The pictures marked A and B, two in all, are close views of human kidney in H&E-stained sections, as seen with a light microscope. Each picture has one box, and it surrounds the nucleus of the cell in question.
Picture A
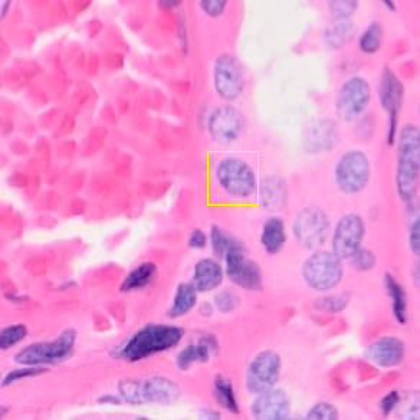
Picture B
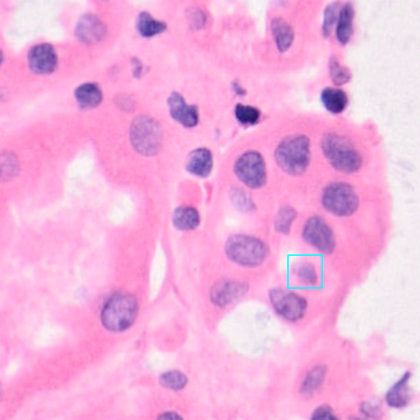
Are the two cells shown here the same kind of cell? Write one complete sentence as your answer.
Yes, both are collecting duct cells.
